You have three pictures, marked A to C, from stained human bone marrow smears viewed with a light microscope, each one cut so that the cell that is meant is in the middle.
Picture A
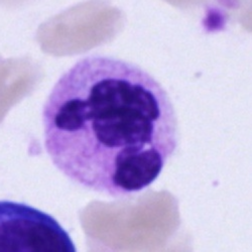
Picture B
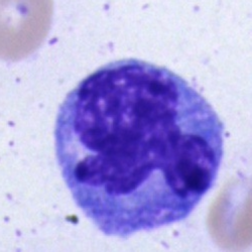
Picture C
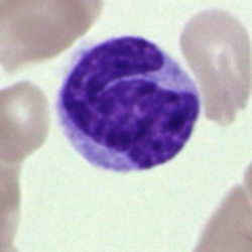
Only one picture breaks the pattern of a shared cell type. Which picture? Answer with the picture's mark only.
A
